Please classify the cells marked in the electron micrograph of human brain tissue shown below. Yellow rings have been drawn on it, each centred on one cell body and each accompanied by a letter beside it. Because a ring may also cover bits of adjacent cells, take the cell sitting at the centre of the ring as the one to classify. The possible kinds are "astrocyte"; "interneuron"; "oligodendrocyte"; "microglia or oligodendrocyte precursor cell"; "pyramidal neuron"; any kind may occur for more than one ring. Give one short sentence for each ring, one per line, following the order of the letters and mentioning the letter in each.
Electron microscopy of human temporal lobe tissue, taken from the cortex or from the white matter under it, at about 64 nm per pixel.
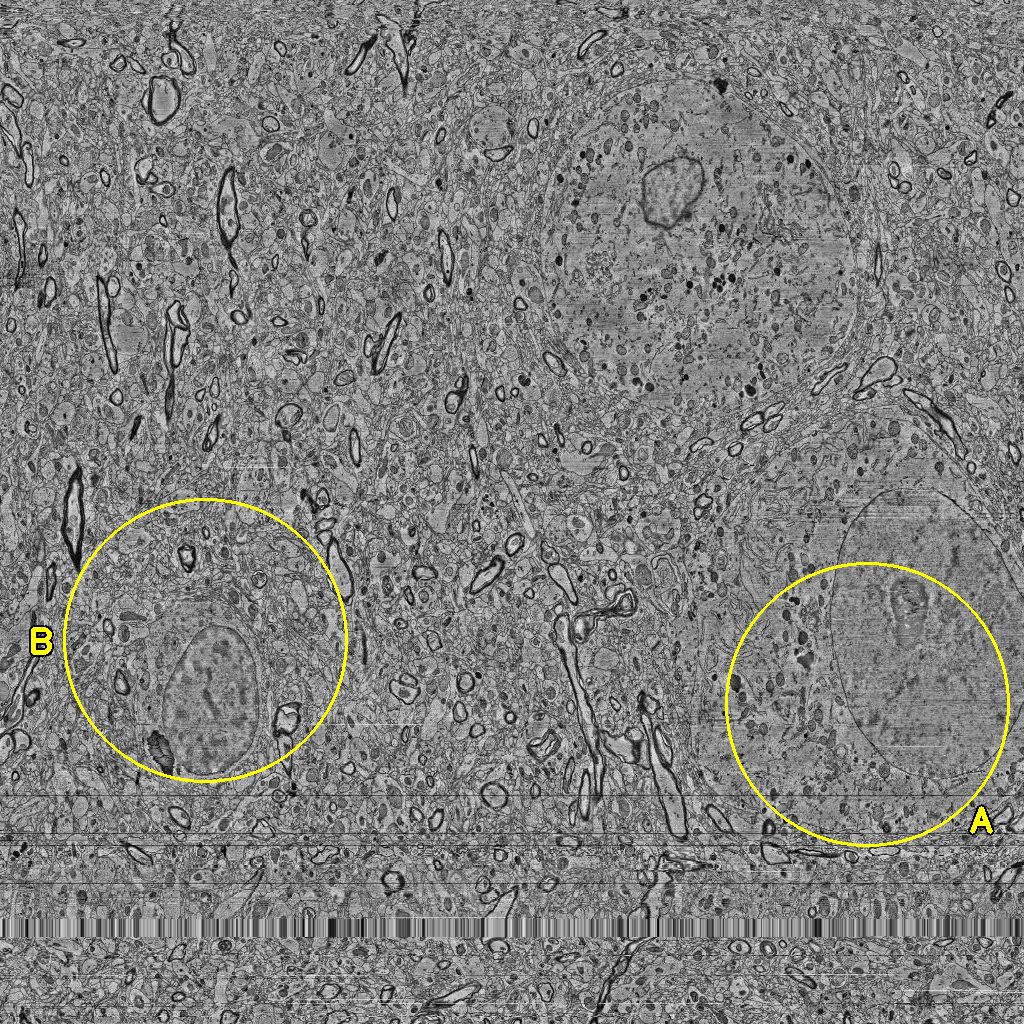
Ring A marks the cell body of a pyramidal neuron.
Ring B marks the cell body of an oligodendrocyte.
